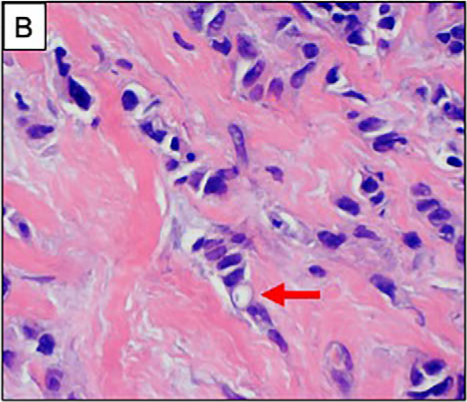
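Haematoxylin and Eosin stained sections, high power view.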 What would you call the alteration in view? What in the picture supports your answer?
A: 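Discohesive tumor cells. Tumour cells lie singly or in short strands, separated from one another. Cells are scattered in dense pink stroma without forming glands.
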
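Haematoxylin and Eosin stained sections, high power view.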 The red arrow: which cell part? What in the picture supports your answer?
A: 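Intracytoplasmic vacuole. A small clear round space lies within the cytoplasm of a tumour cell. The nucleus beside it is pushed to the edge.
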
